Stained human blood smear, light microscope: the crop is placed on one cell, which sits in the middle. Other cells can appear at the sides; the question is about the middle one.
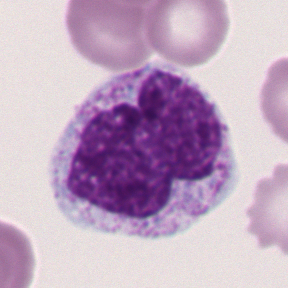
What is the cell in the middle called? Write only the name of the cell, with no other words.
band neutrophil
